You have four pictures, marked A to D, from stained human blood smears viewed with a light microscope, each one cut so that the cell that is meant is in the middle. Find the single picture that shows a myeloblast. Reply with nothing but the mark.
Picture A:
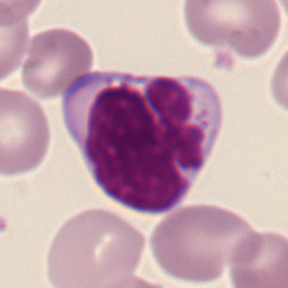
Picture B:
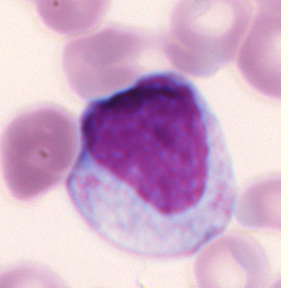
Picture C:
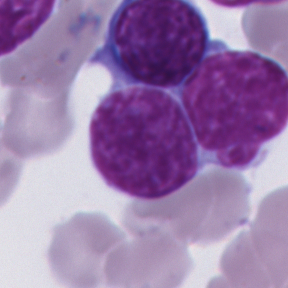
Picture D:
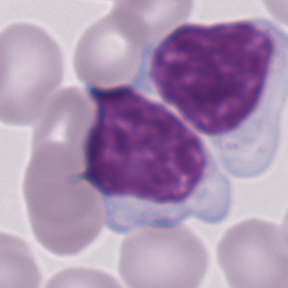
C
